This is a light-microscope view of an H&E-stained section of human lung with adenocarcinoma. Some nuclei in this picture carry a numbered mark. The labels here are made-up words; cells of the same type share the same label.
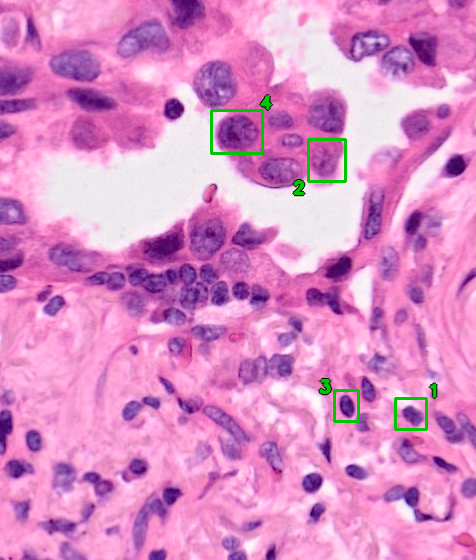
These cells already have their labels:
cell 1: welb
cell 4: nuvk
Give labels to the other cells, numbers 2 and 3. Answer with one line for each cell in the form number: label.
2: nuvk
3: welb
